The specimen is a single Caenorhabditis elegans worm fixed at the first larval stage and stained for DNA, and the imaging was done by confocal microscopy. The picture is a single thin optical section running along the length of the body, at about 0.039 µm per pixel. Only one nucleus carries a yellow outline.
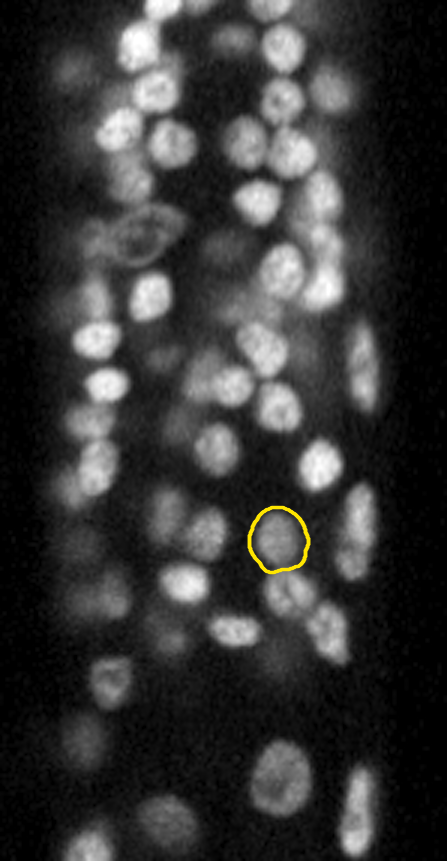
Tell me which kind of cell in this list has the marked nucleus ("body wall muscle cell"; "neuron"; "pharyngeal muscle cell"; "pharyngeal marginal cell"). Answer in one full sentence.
This is the nucleus of a pharyngeal marginal cell.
